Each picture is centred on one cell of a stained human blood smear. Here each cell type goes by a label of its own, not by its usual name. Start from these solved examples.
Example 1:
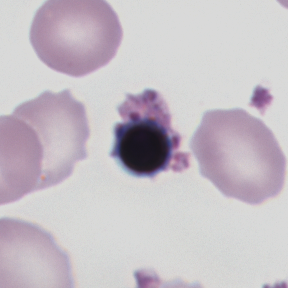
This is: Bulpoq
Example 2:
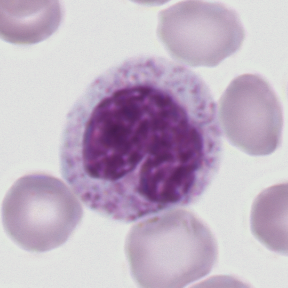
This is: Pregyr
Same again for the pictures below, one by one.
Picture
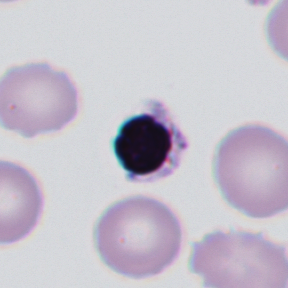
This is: Bulpoq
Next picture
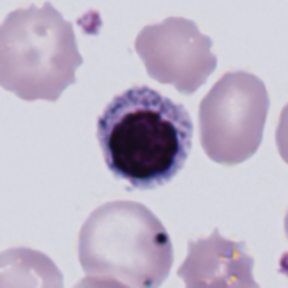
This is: Bulpoq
